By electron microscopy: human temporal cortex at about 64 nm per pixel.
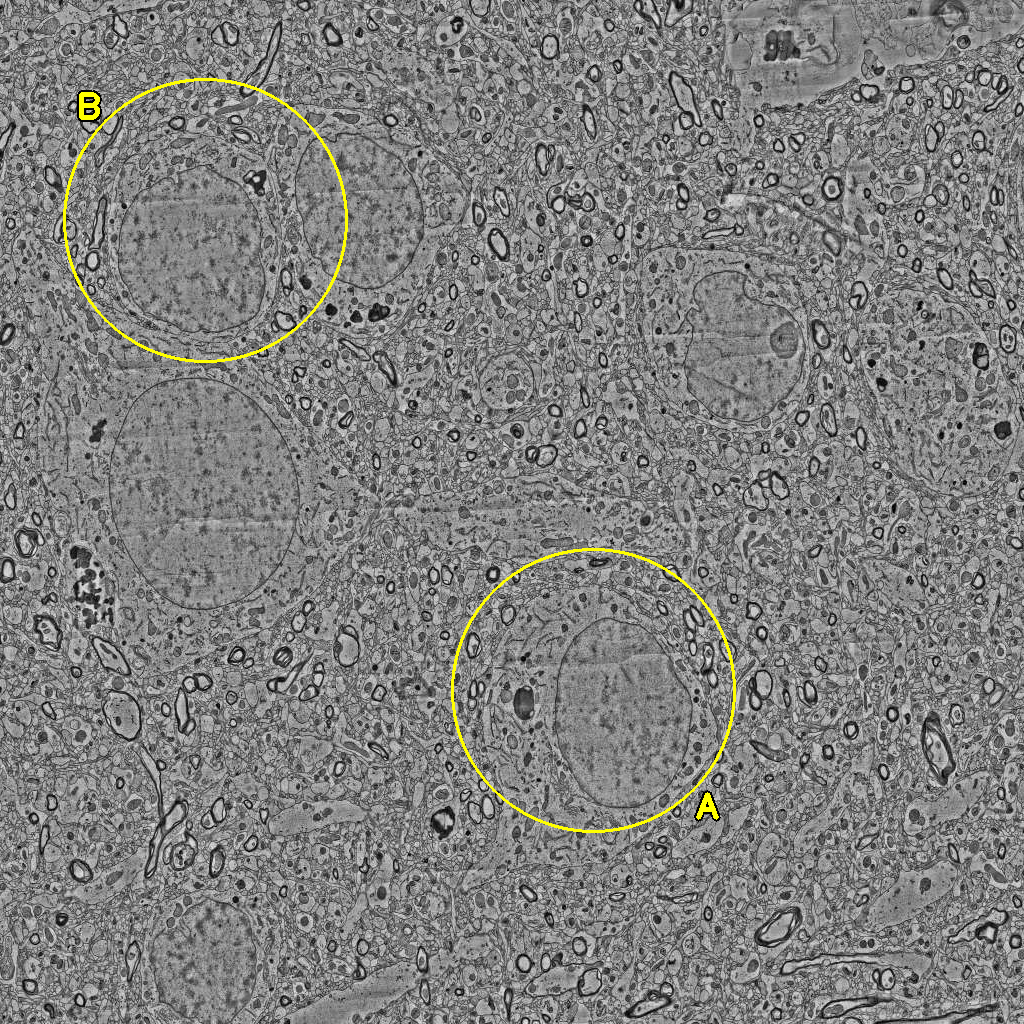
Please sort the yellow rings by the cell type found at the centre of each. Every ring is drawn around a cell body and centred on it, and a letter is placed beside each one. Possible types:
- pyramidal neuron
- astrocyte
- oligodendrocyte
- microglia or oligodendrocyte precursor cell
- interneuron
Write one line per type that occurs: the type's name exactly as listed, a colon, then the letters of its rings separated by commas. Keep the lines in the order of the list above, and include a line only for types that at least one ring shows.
pyramidal neuron: B
interneuron: A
